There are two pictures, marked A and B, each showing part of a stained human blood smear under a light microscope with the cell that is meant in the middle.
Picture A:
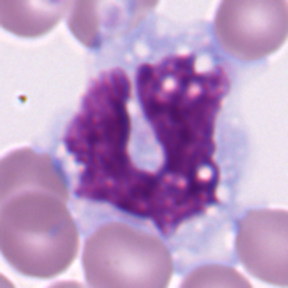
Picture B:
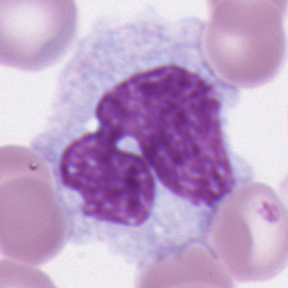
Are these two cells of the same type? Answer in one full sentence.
Yes, they are the same type: both are monocytes.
